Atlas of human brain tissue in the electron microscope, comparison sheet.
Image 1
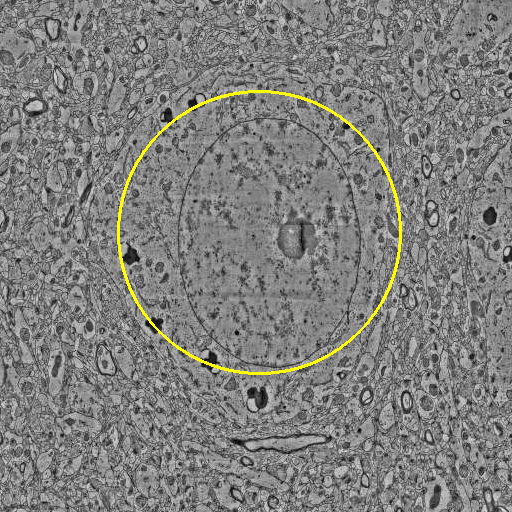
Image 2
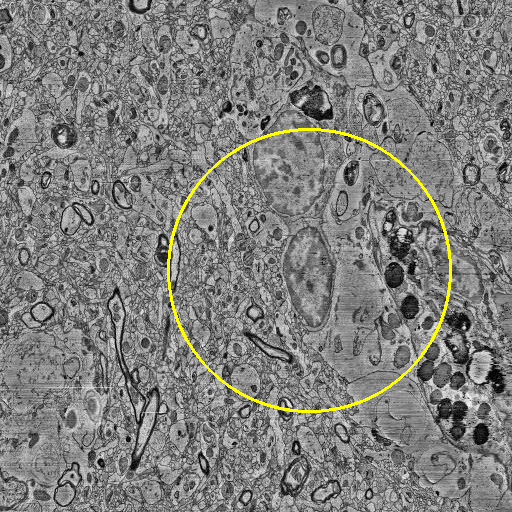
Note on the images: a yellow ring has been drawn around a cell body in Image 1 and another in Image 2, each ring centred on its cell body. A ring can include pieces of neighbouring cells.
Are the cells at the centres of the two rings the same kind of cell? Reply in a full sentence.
No, the two cells are of two kinds.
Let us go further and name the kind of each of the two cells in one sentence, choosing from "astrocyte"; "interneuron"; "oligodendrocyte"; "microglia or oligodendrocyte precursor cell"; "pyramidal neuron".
The ring of the first picture is on a pyramidal neuron, the ring of the second on an oligodendrocyte.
